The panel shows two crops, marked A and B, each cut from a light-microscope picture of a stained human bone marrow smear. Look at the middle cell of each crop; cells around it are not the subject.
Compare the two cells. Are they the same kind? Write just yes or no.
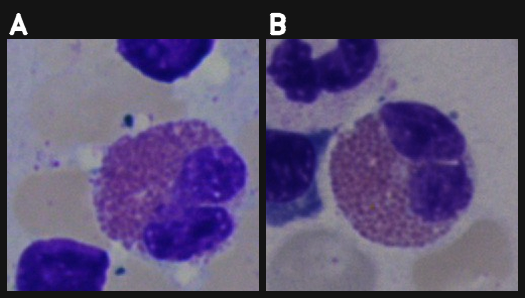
yes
